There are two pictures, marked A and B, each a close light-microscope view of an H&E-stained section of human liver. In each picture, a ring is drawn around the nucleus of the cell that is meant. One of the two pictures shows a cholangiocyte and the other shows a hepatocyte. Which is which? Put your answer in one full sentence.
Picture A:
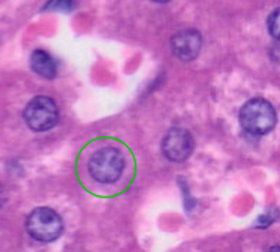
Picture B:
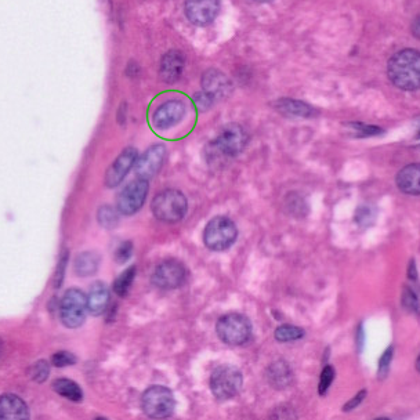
Picture B shows a cholangiocyte, while picture A shows a hepatocyte.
